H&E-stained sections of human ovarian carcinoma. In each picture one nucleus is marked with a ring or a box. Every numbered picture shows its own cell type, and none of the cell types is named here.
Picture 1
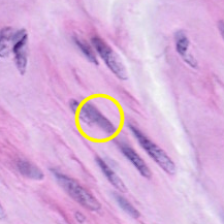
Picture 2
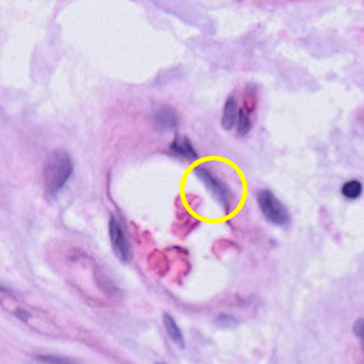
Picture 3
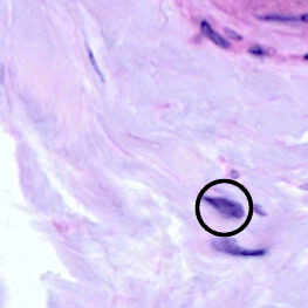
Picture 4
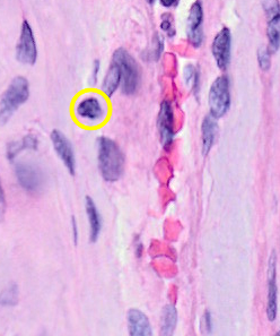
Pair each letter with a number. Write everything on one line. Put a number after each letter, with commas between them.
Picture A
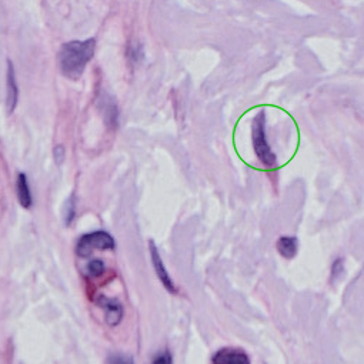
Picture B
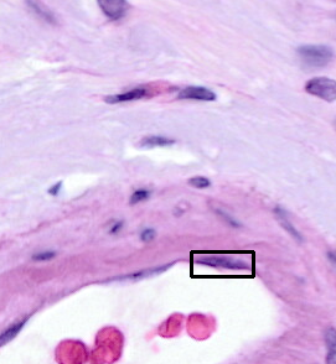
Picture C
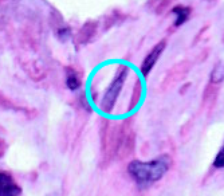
A 3, B 2, C 3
